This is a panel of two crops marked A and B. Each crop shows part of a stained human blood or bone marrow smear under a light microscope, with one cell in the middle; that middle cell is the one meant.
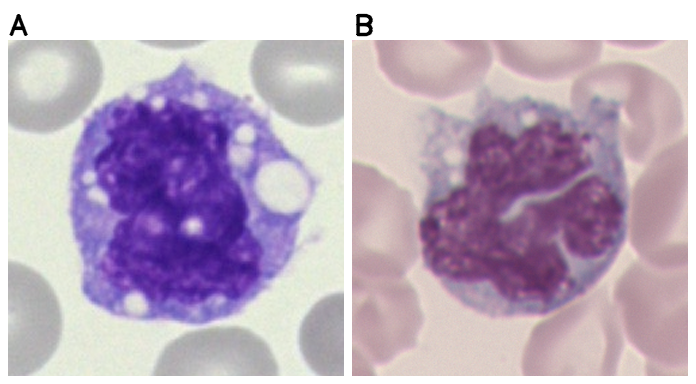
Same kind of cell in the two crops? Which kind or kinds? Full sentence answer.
Yes, at the centre of both crops are monocytes.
